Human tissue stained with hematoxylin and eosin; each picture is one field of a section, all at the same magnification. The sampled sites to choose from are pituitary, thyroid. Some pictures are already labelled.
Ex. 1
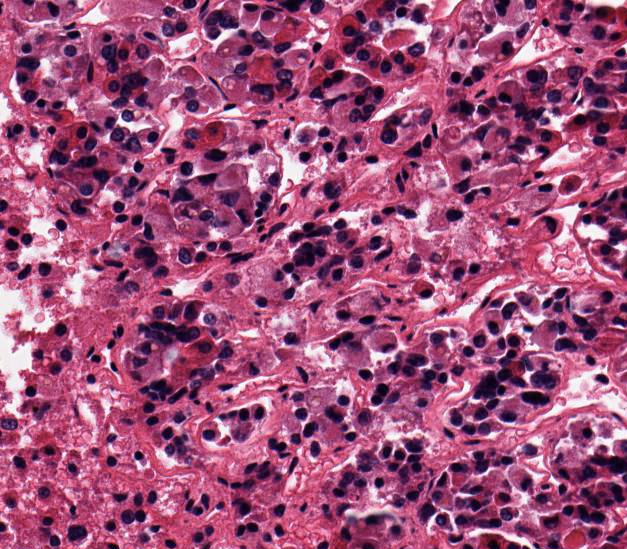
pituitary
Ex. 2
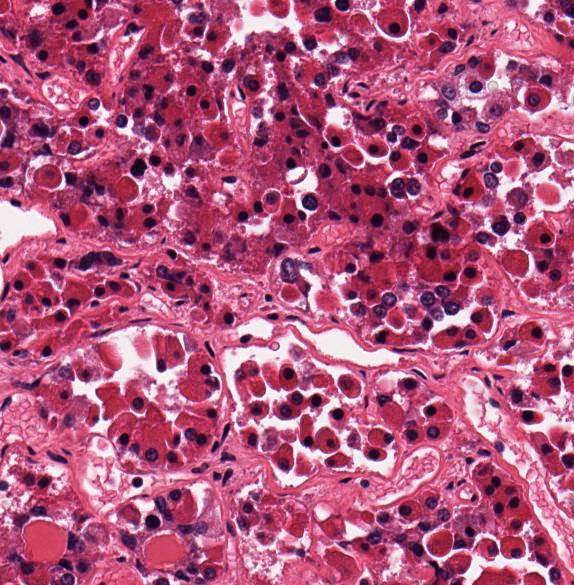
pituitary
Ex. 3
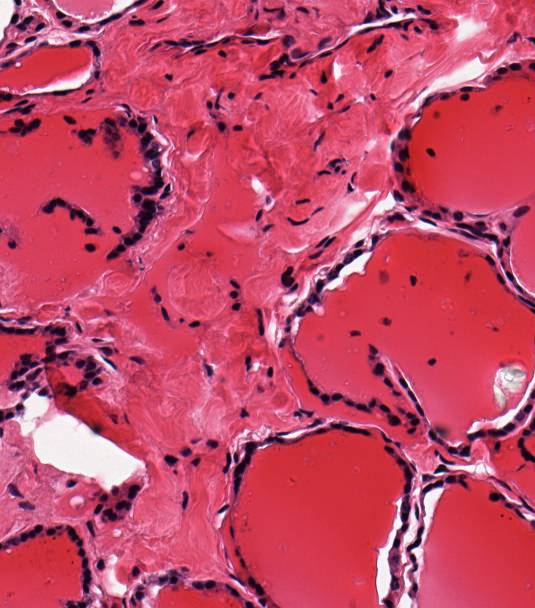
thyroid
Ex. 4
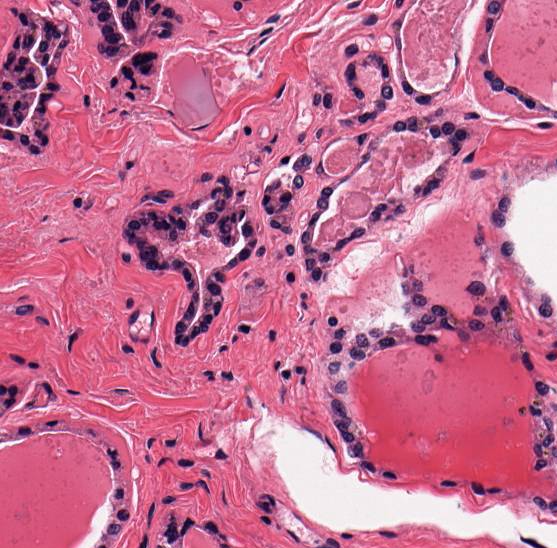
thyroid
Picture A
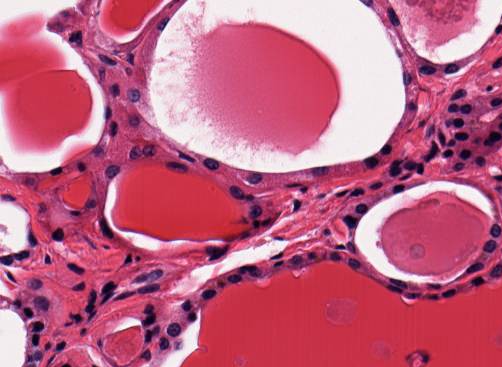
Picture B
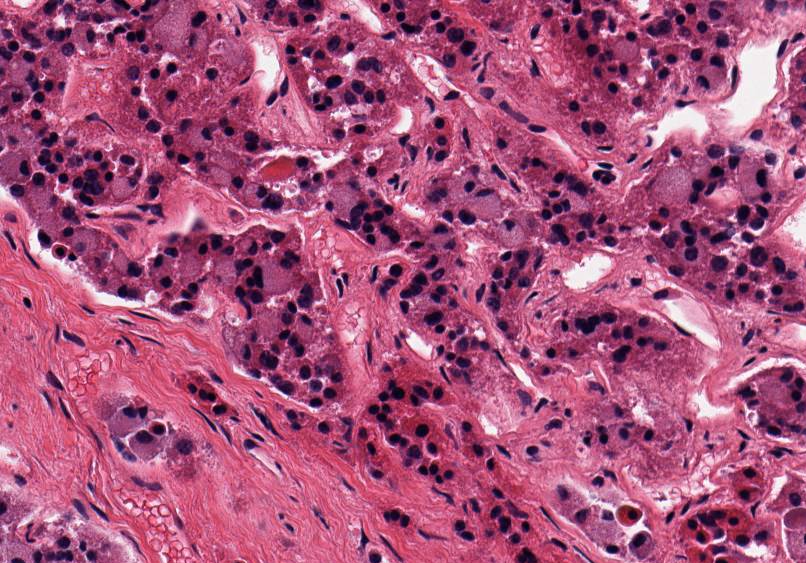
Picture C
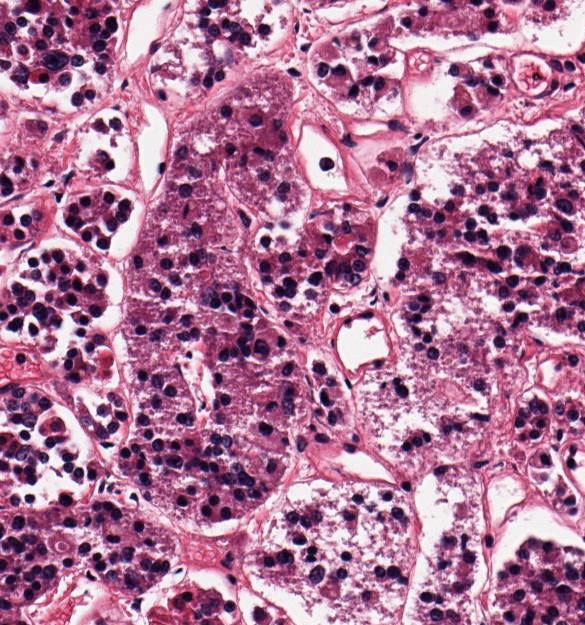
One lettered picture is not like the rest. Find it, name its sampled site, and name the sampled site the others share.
A differs and shows thyroid; the others show pituitary.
